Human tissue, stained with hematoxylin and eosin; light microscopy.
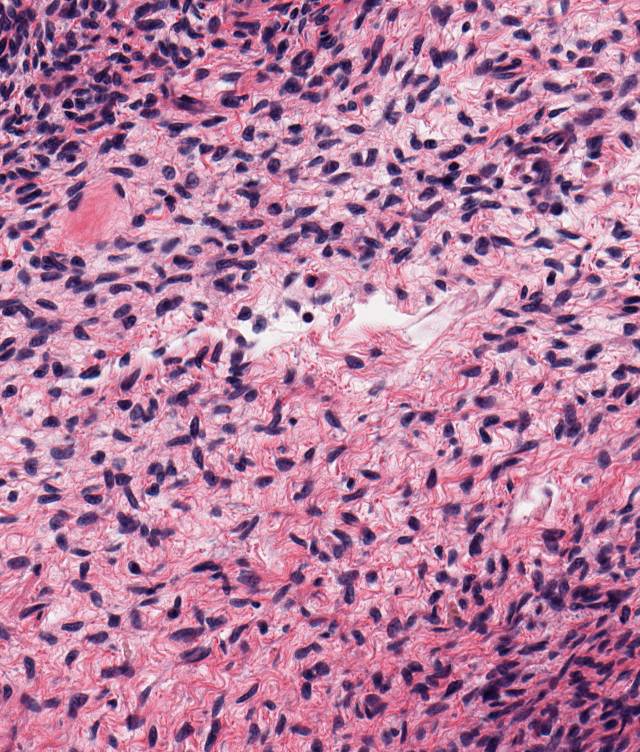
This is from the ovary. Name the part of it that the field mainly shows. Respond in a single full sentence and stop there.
Shown here is the tissue part known as ovarian cortex.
